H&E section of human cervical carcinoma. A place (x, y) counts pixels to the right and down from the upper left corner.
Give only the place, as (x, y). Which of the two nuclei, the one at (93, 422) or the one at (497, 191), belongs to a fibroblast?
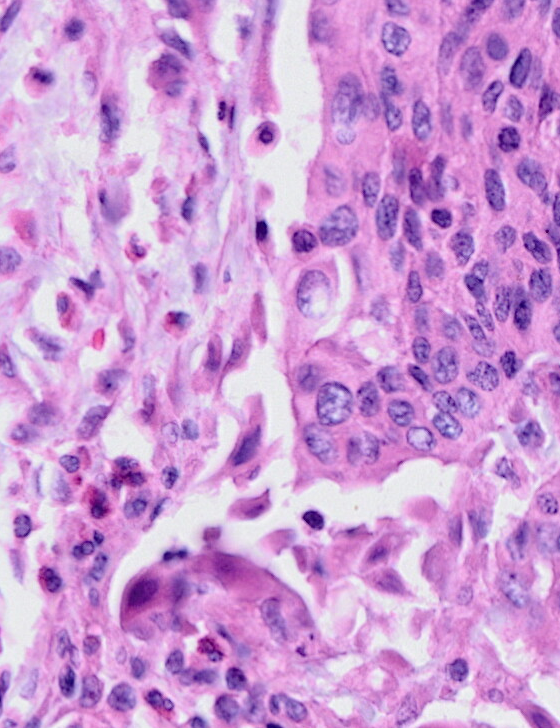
(93, 422)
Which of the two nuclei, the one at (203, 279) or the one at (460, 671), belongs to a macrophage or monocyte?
(460, 671)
